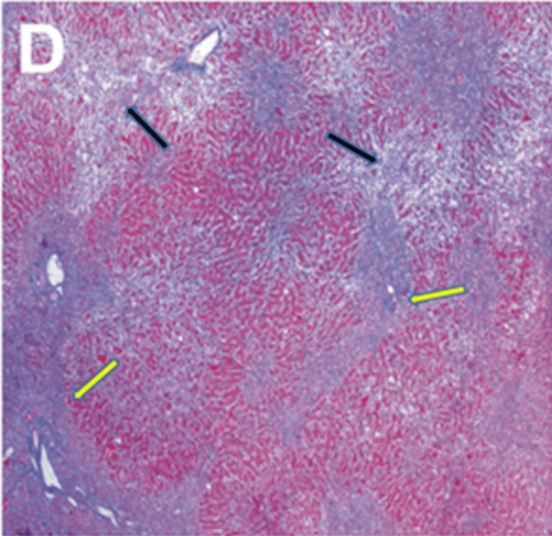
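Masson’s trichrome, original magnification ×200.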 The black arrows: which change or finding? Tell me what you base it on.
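Necrosis and liver parenchymal collapse. The black arrows point to pale, loose, faintly blue areas. These areas lack the red-stained cell plates.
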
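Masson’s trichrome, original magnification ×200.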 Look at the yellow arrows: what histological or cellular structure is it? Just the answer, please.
Porto-portal and porto-central fibroinflammatory septa.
